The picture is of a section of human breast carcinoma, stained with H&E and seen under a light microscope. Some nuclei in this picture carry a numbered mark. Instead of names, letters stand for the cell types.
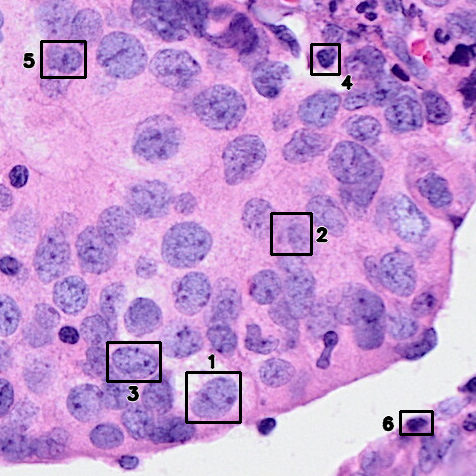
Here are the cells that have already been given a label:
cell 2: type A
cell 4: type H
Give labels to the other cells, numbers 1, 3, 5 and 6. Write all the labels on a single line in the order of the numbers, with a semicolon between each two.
type A; type A; type A; type H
